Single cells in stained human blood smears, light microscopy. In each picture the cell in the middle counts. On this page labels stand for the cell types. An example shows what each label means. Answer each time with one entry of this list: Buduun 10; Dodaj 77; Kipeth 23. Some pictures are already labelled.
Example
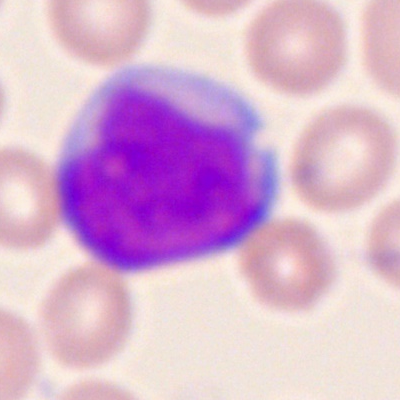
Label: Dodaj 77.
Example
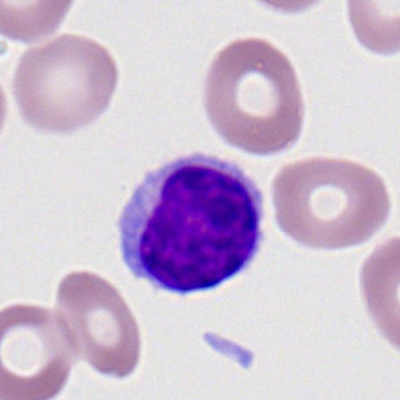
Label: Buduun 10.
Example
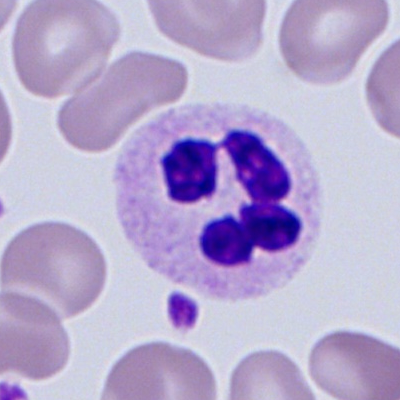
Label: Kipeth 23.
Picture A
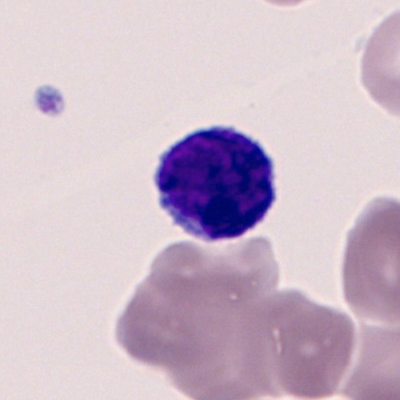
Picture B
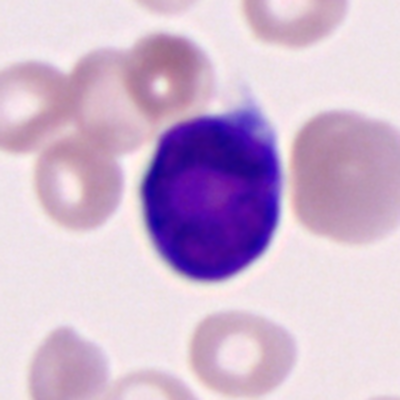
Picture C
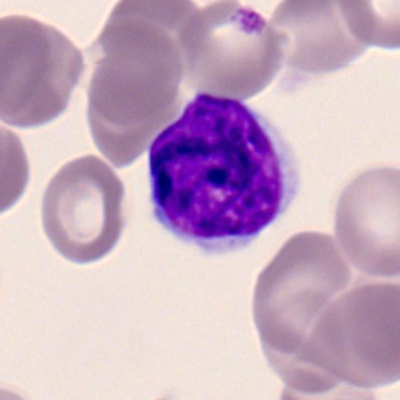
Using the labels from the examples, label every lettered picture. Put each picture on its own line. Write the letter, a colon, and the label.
A: Buduun 10.
B: Dodaj 77.
C: Buduun 10.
